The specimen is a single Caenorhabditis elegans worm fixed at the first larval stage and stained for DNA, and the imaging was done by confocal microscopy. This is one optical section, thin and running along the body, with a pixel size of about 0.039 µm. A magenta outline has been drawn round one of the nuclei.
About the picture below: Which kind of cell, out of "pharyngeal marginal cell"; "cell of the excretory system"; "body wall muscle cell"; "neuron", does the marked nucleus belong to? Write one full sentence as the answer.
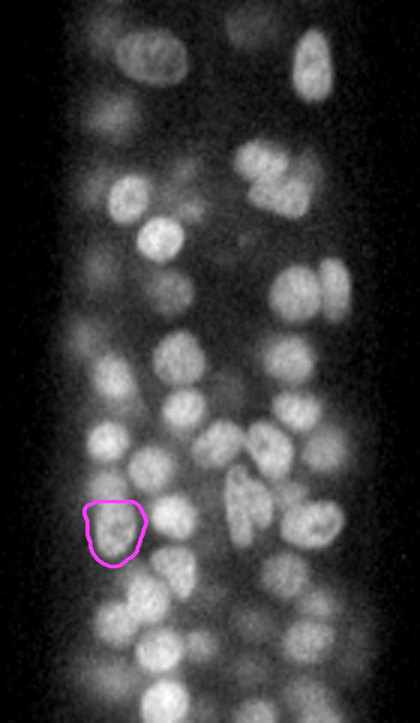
The marked nucleus is that of a body wall muscle cell.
